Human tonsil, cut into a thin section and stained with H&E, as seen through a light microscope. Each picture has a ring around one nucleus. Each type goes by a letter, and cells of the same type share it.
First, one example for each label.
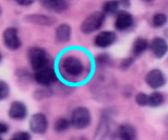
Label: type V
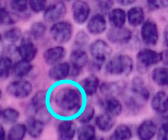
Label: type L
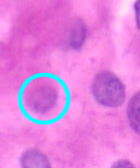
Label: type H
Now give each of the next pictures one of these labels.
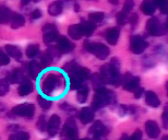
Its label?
type L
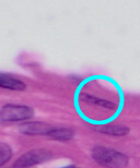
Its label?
type H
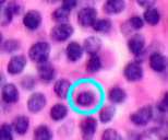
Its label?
type L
